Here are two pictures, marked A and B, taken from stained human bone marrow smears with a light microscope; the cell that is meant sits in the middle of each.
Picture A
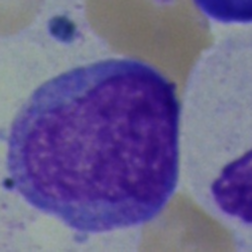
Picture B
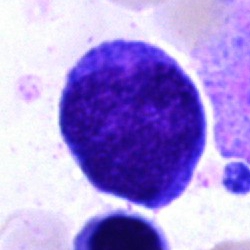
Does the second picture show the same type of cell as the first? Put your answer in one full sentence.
Yes, both cells are blasts.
